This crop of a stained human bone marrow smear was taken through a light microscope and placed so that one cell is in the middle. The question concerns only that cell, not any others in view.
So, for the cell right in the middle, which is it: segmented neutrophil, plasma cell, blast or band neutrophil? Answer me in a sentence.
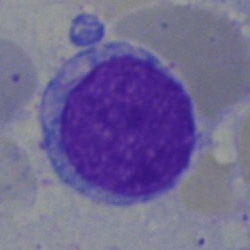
Centrally within this crop lies a blast.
